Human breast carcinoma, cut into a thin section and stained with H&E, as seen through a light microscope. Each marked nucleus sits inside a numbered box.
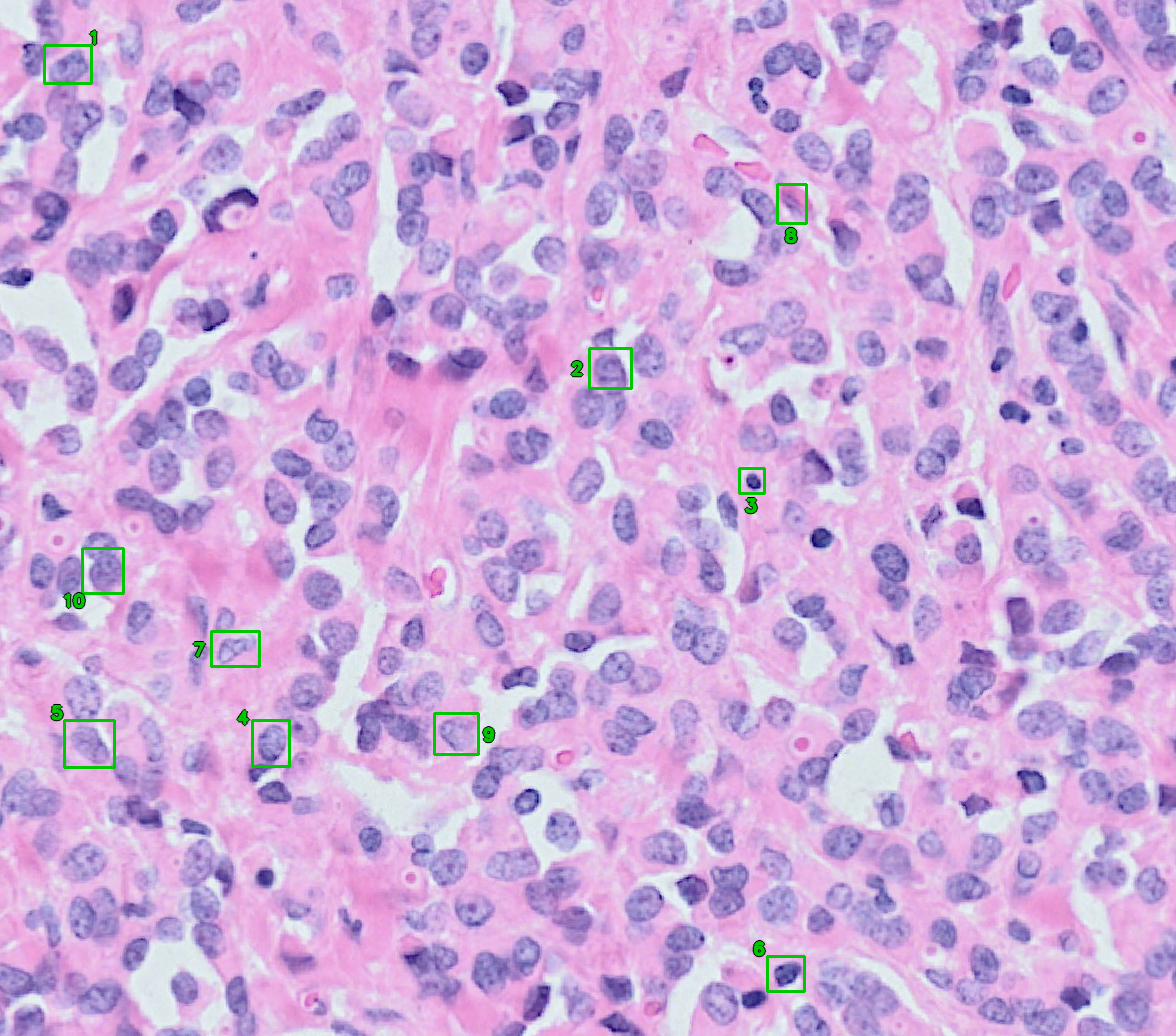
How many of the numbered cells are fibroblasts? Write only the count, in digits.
0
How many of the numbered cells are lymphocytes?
2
